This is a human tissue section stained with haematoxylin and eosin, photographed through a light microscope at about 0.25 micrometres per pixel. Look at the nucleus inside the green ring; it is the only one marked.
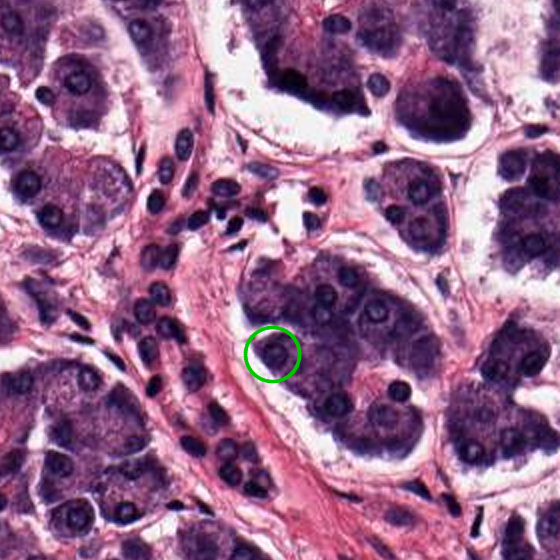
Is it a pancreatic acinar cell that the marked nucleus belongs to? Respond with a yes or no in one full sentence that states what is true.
Yes, the marked nucleus is a part of a pancreatic acinar cell.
